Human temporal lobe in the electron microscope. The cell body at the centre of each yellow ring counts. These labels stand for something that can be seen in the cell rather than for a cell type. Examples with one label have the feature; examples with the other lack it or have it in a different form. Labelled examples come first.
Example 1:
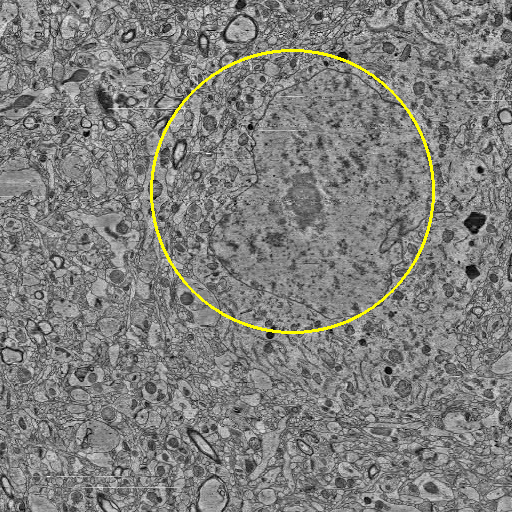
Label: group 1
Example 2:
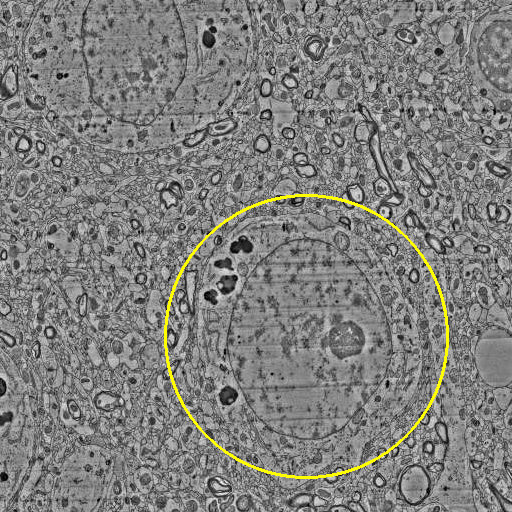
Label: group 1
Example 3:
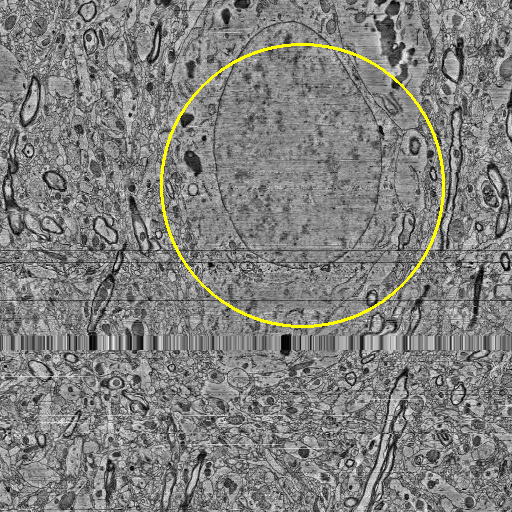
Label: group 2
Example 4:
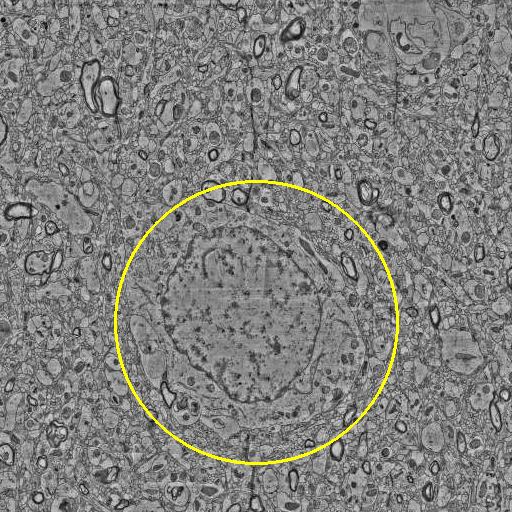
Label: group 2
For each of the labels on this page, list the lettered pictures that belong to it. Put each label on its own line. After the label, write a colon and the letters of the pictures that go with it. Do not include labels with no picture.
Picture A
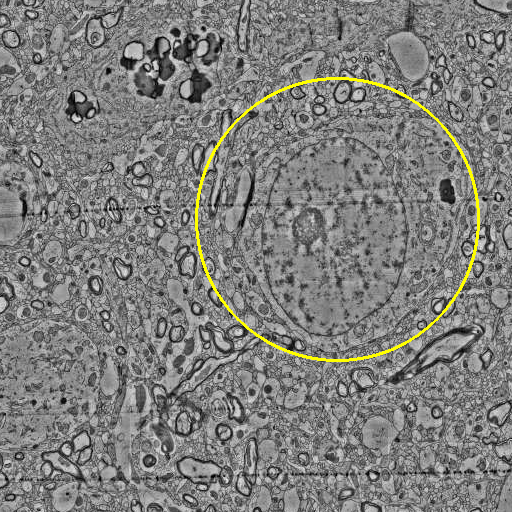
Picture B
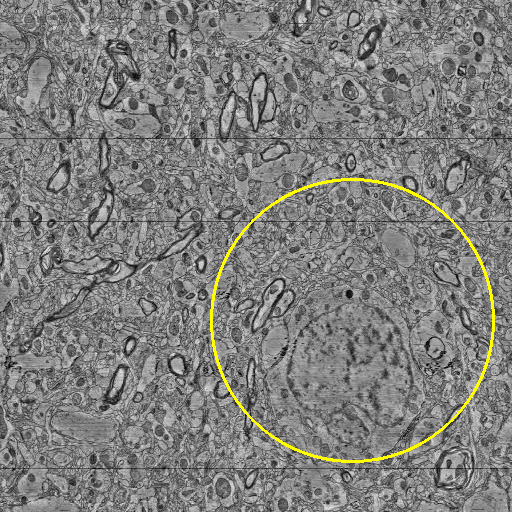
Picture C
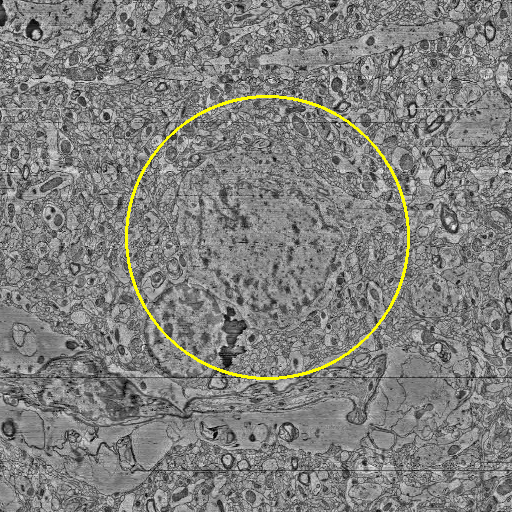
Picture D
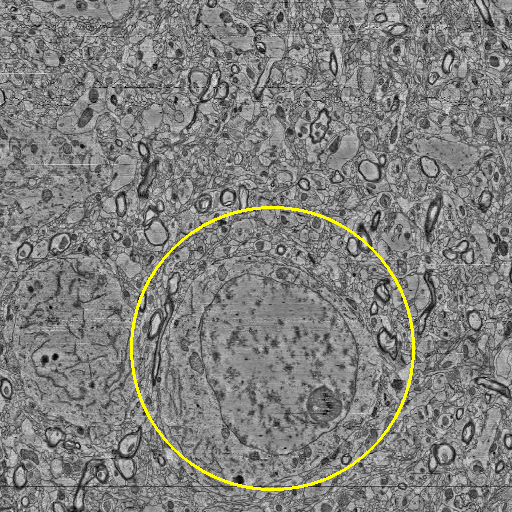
group 1: A, D
group 2: B, C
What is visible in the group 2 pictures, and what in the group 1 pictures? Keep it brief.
In group 2: no nucleolus seen. In group 1: nucleolus seen.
